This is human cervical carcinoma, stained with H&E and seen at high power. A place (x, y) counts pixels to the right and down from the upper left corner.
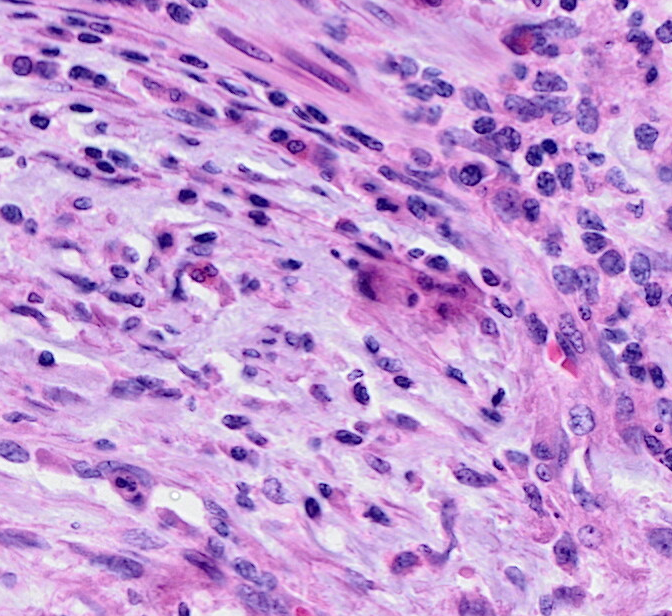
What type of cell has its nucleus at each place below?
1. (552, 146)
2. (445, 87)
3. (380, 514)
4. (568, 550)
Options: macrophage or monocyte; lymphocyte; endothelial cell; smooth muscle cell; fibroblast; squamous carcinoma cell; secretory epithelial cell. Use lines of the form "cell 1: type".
cell 1: lymphocyte
cell 2: lymphocyte
cell 3: lymphocyte
cell 4: macrophage or monocyte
